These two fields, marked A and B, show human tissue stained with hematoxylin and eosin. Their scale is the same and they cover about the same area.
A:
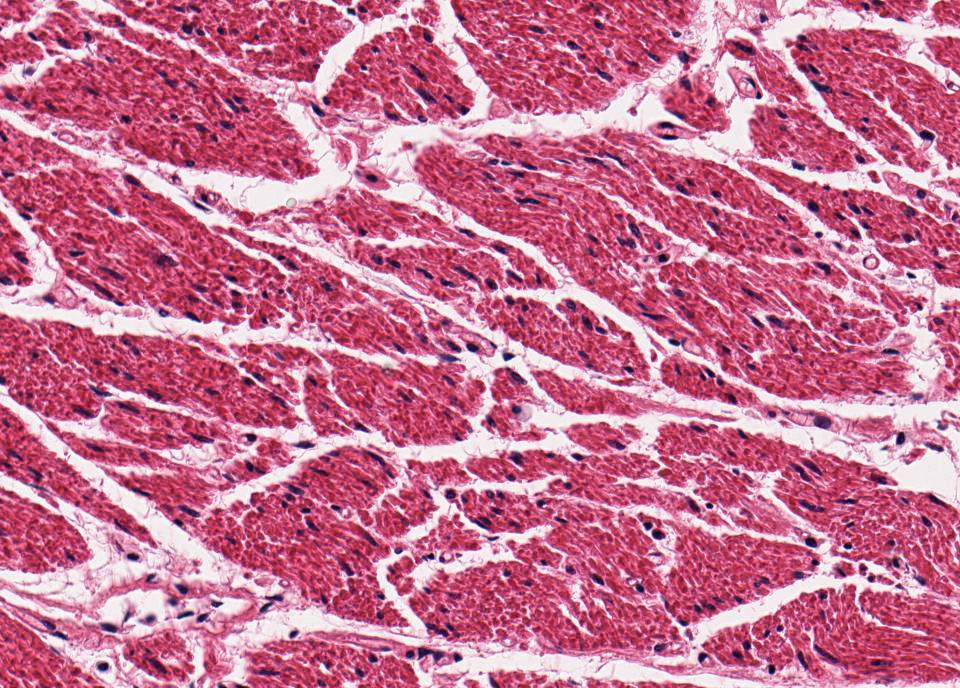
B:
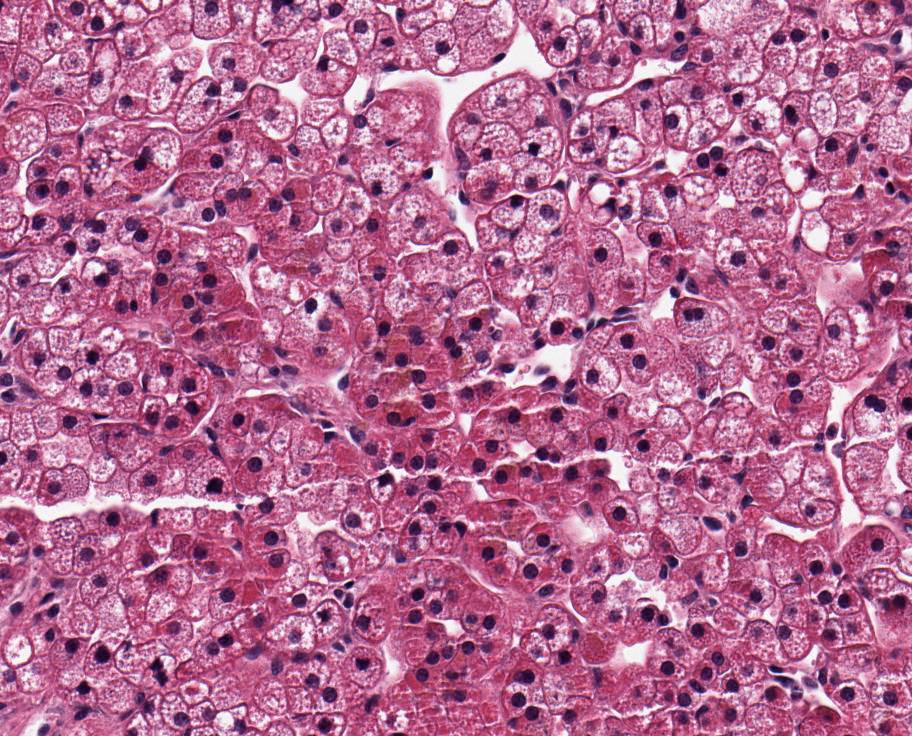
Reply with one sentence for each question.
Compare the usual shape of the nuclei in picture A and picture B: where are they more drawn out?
It is picture A whose nuclei are the more elongated.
